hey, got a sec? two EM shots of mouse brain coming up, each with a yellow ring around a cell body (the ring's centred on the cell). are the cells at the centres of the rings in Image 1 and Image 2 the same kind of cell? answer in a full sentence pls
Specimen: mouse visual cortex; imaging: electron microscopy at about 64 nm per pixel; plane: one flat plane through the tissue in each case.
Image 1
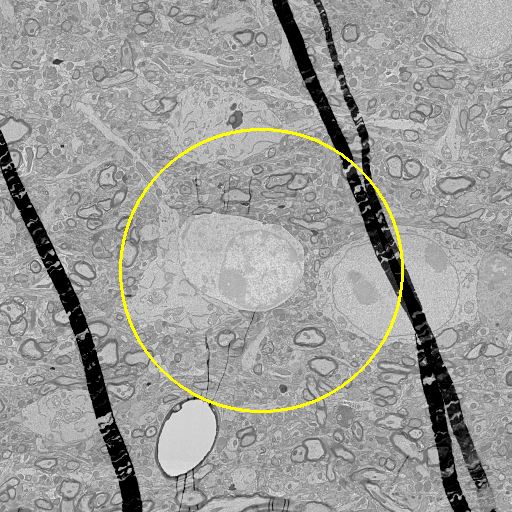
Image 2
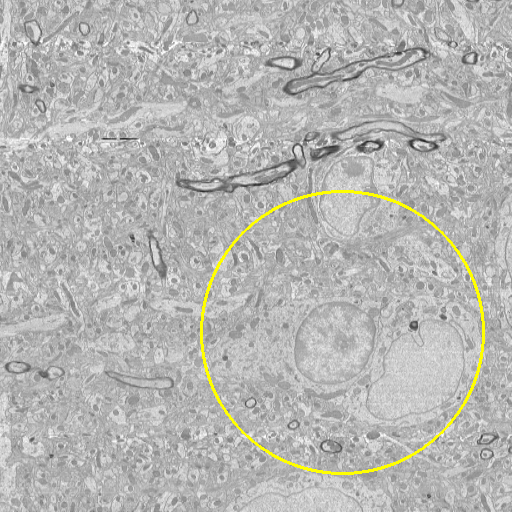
Yes, both are the same kind of cell.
